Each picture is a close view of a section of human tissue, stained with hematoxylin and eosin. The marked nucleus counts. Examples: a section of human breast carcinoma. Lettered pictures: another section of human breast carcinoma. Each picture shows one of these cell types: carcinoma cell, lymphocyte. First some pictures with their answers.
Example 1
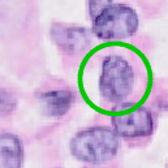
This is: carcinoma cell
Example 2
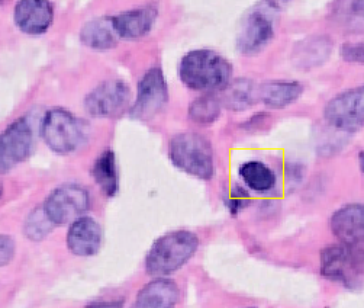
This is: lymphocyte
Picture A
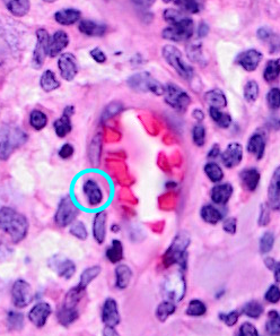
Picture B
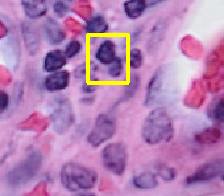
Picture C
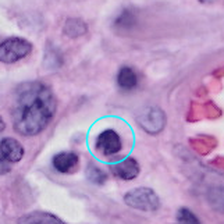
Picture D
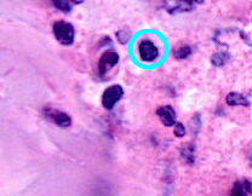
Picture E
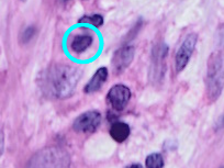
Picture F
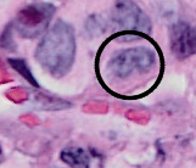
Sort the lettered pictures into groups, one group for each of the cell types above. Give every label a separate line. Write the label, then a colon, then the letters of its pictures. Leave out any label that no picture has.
carcinoma cell: F
lymphocyte: A, B, C, D, E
